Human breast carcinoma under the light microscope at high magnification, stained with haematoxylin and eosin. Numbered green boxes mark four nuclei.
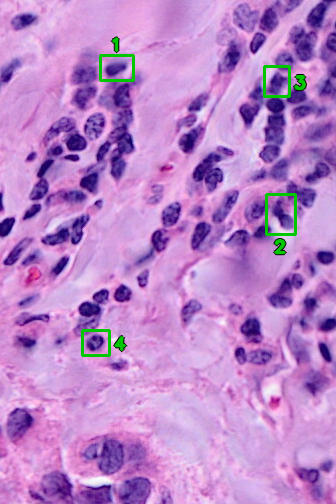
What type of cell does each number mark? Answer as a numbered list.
1. lymphocyte
2. lymphocyte
3. lymphocyte
4. mast cell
